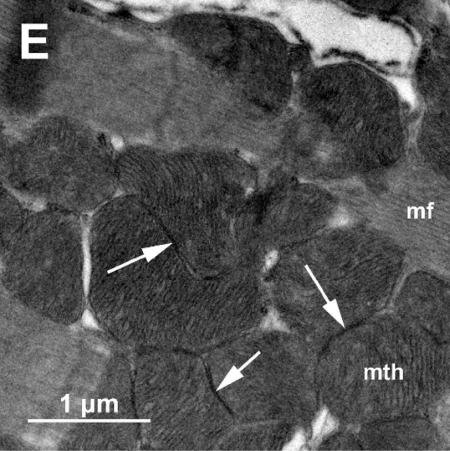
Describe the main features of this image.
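Large, closely packed mitochondria fill most of the field, each crowded with fine, densely stacked parallel cristae, and myofibrils with their longitudinal filaments lie at the edge. Where neighbouring mitochondria press against each other, their boundaries form thin dark lines, the junctions between mitochondria.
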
